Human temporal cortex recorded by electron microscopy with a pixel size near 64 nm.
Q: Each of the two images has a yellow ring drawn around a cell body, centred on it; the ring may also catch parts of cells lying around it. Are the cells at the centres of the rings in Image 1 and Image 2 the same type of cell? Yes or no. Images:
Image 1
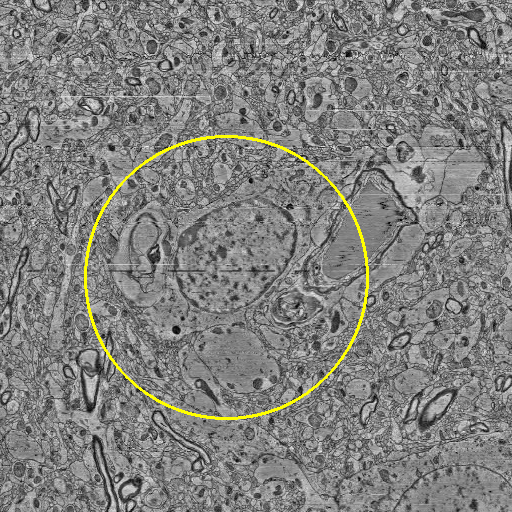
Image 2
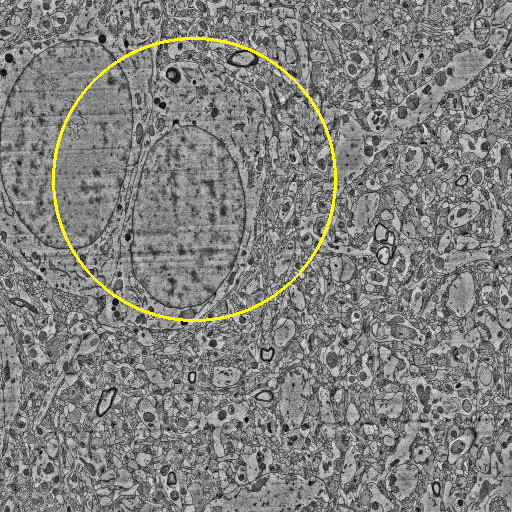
no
